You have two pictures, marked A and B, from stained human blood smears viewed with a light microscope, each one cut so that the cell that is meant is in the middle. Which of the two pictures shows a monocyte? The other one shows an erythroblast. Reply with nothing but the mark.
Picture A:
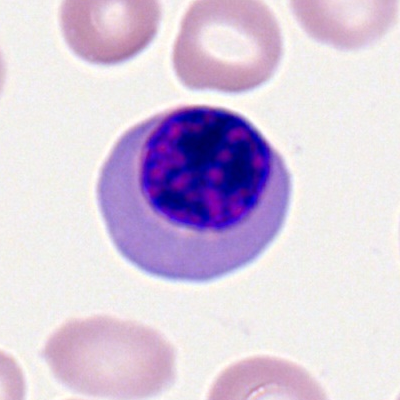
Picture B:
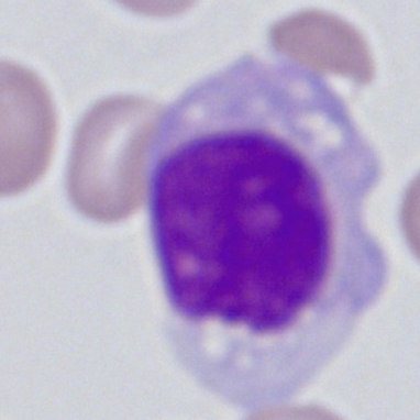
B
